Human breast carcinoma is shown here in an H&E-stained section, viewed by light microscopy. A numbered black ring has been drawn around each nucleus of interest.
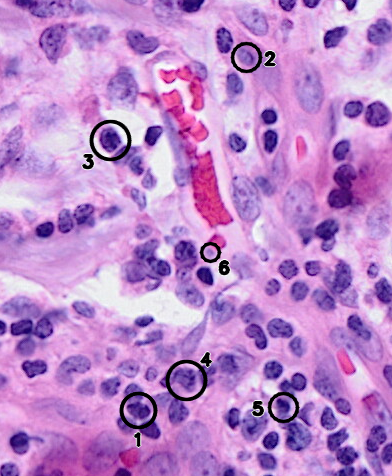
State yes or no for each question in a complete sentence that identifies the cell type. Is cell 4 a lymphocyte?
Yes, the one numbered 4 is a lymphocyte.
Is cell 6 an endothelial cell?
Yes, number 6 marks a cell that is an endothelial cell.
